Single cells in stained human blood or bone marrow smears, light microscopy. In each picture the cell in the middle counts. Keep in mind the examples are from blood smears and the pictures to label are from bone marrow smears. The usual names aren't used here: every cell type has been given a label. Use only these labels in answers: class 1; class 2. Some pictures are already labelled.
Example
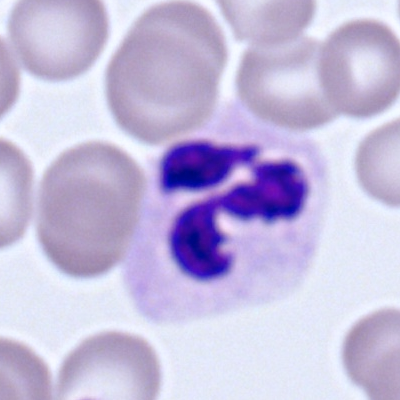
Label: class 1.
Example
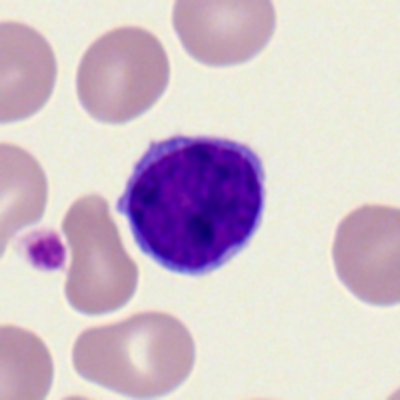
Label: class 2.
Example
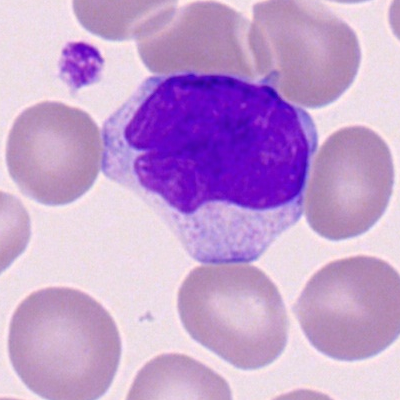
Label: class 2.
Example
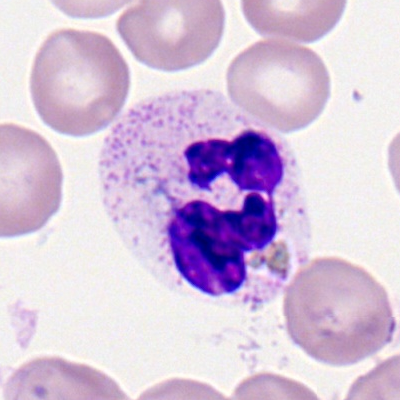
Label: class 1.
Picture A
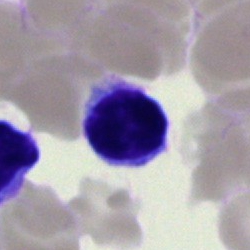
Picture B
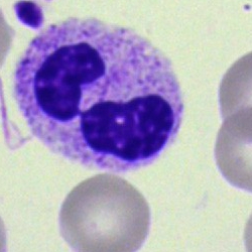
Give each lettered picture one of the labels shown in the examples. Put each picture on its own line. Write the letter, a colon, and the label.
A: class 2.
B: class 1.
